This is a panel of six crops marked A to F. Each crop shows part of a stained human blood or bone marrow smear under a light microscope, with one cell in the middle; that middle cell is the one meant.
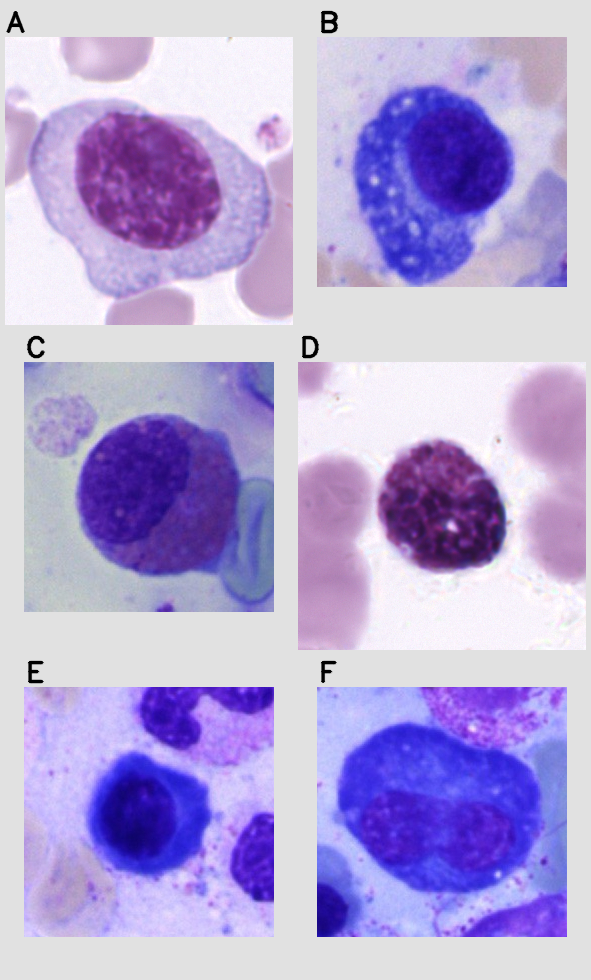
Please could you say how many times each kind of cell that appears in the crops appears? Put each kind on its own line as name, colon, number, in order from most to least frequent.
plasma cell: 4
eosinophil: 2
